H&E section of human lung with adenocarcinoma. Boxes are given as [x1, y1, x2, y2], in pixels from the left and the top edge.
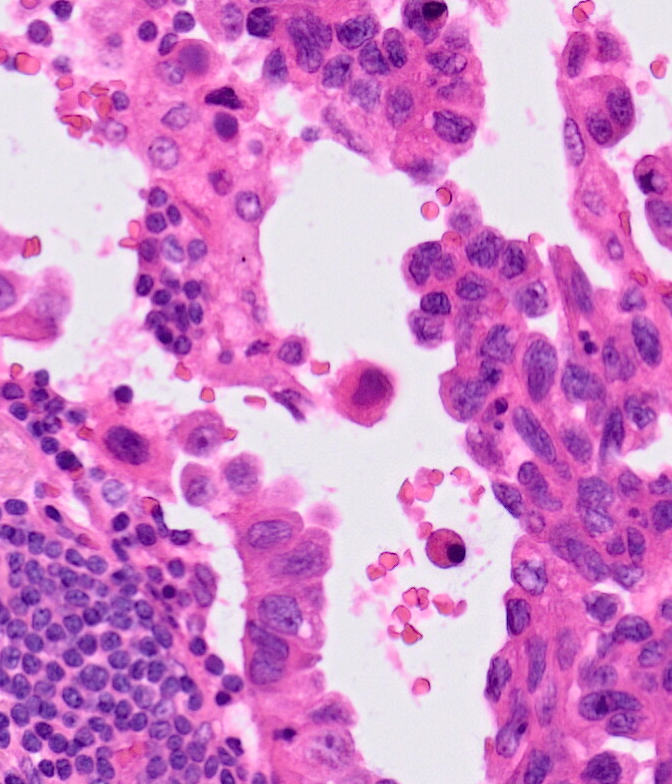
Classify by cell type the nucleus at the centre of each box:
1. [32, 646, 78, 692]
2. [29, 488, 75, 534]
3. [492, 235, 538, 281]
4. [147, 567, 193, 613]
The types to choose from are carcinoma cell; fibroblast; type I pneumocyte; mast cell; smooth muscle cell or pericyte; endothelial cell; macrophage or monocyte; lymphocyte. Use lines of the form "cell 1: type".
cell 1: lymphocyte
cell 2: lymphocyte
cell 3: carcinoma cell
cell 4: lymphocyte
